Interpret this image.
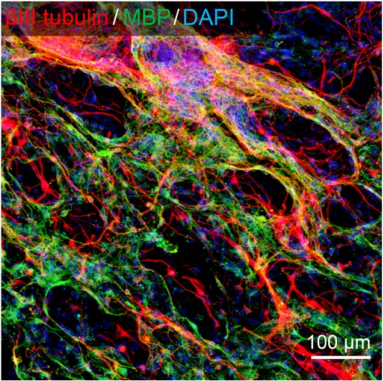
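A dense three-dimensional network of neurons and glial cells fills the field. Long, thin red fibres run in many directions, some single and some gathered into thick, wavy bundles that cross the upper part of the image. Green cells with branching, fine processes are scattered among and along the red fibres, and in many bundles red and green overlap to give yellow-orange tones. Small blue round nuclei are spread throughout, densest where cells cluster. Dark spaces between the strands give the network an open, mesh-like arrangement.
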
